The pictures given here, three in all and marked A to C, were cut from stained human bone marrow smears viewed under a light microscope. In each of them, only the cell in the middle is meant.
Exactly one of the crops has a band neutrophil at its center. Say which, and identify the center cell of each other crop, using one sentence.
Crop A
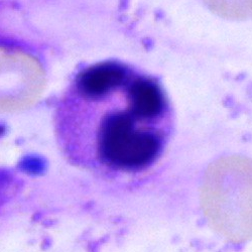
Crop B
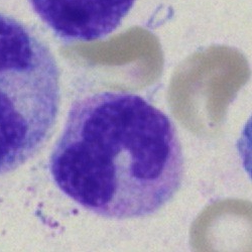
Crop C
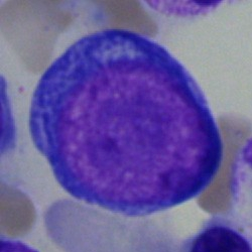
With respect to crop B, the cell is a band neutrophil, whereas crop A is a segmented neutrophil and crop C is a proerythroblast.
